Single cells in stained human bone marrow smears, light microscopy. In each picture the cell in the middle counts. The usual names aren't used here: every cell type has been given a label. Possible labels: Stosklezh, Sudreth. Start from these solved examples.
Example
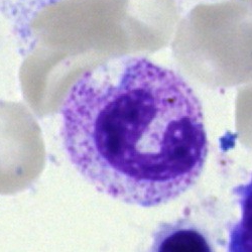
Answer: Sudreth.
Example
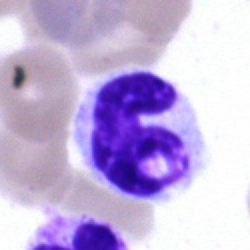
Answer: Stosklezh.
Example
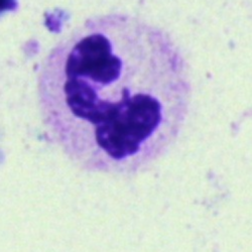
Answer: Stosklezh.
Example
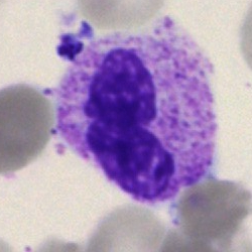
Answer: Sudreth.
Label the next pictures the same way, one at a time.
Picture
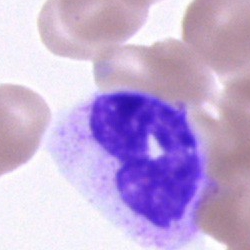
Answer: Stosklezh.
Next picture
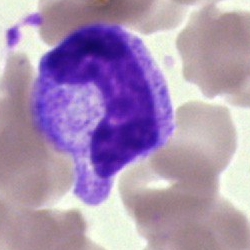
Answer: Sudreth.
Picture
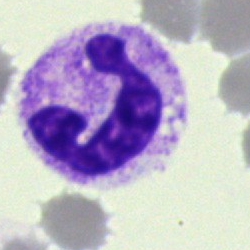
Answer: Stosklezh.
